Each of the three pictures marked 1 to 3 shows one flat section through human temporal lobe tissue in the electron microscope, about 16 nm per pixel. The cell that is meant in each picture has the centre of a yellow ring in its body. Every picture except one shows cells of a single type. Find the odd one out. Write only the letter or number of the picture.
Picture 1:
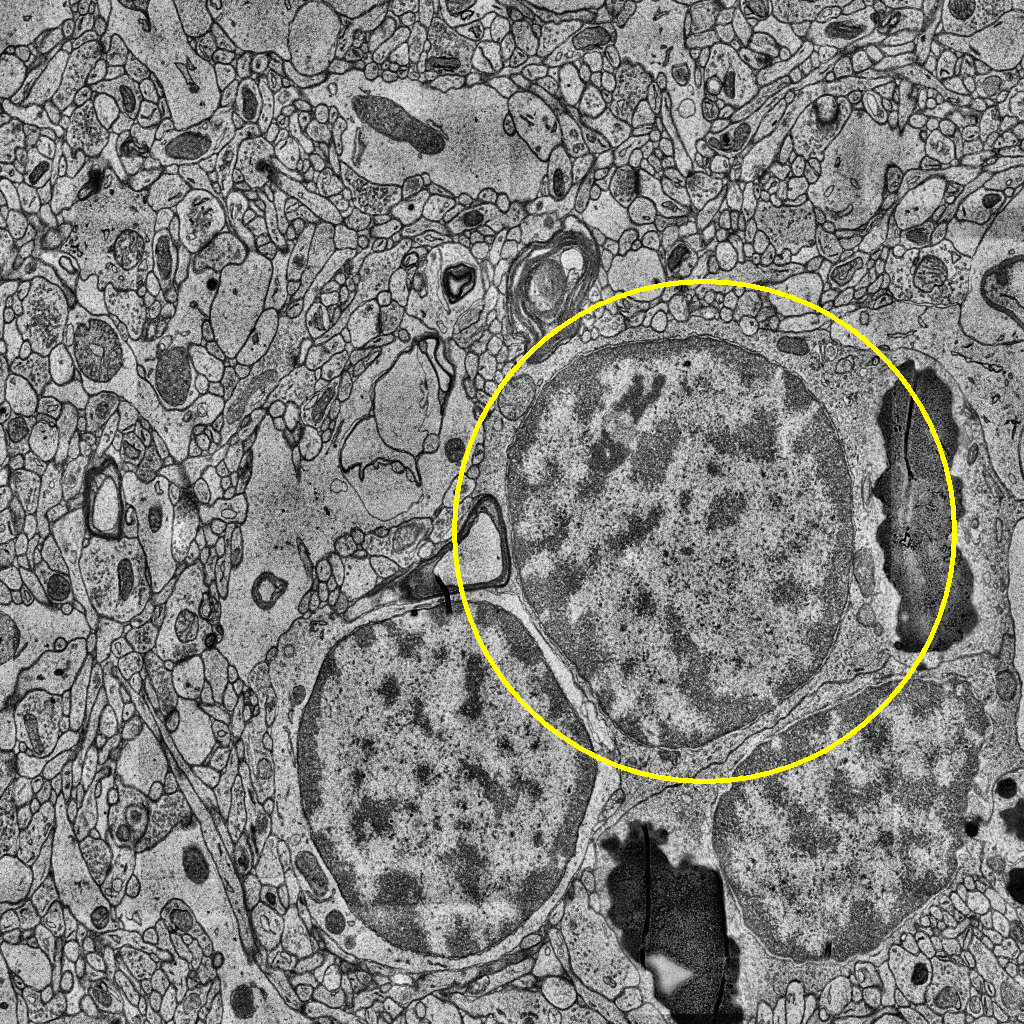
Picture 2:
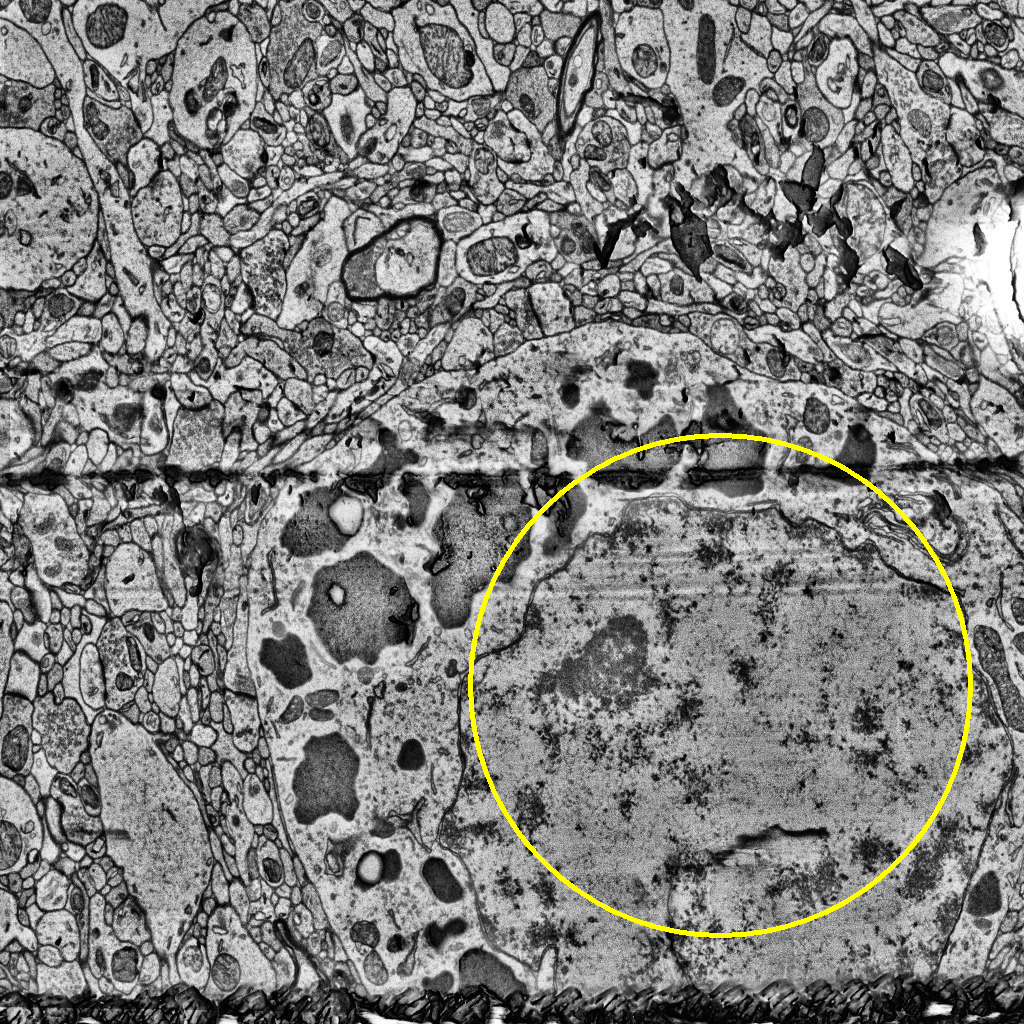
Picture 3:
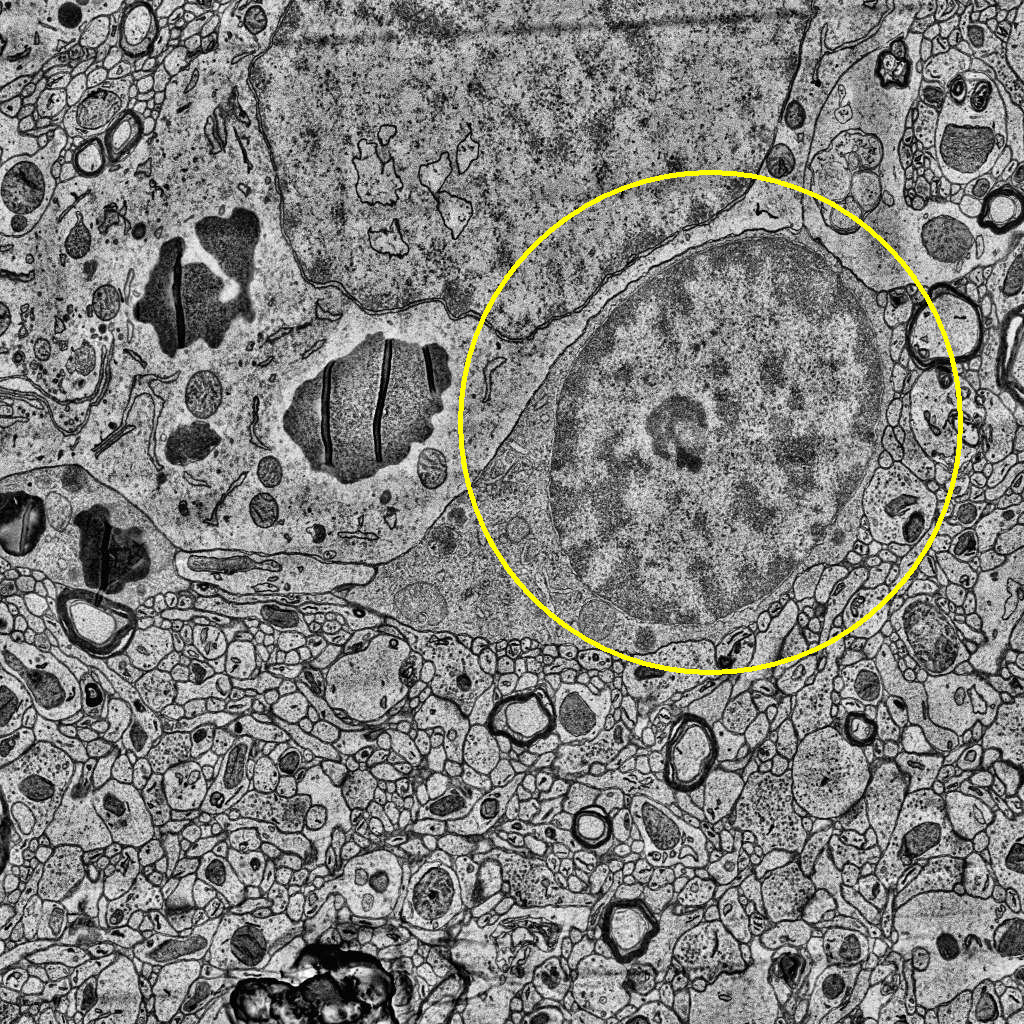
2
